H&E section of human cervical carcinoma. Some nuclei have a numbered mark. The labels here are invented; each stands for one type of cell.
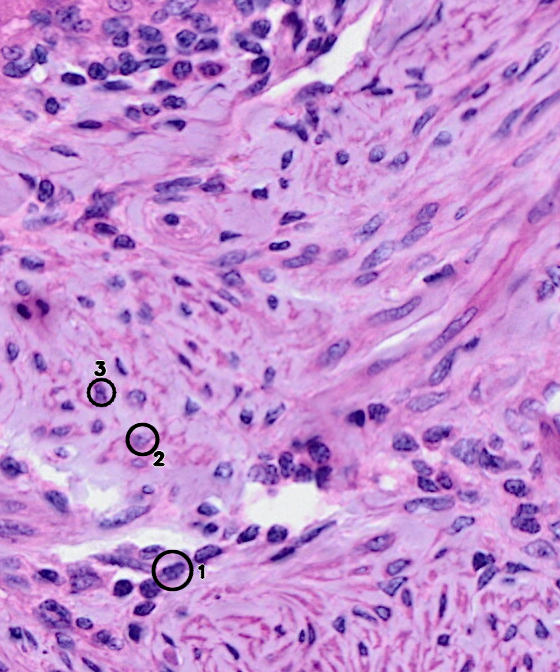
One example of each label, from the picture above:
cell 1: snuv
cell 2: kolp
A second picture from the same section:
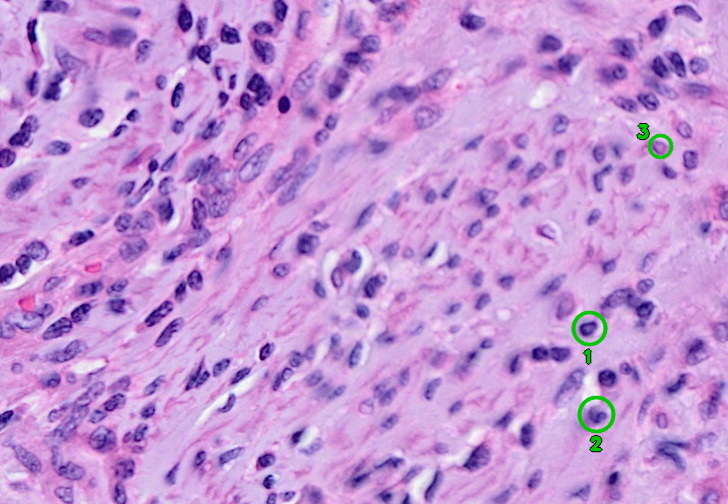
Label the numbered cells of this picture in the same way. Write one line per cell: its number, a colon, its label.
1: snuv
2: snuv
3: kolp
